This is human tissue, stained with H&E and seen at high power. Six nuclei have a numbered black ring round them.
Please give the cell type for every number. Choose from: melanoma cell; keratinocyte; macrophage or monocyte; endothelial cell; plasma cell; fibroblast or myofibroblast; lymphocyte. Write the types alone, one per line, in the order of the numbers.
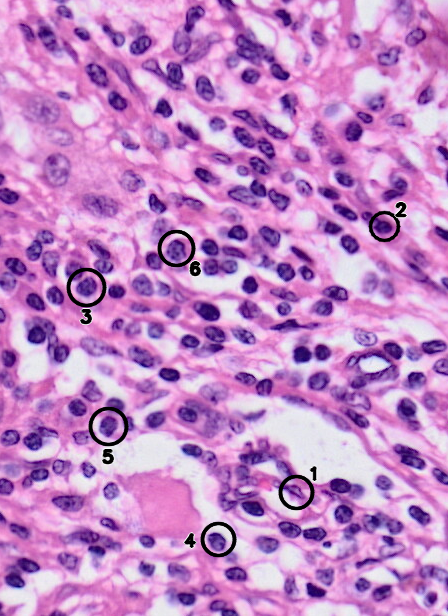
endothelial cell
plasma cell
lymphocyte
lymphocyte
lymphocyte
lymphocyte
